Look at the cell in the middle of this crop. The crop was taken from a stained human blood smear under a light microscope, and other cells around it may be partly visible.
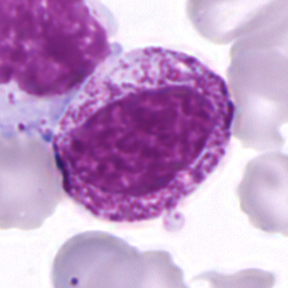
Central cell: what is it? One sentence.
This crop is built around a myelocyte at its centre.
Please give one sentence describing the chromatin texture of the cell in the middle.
Heads up, the chromatin is fine with no coarse clumps in it.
